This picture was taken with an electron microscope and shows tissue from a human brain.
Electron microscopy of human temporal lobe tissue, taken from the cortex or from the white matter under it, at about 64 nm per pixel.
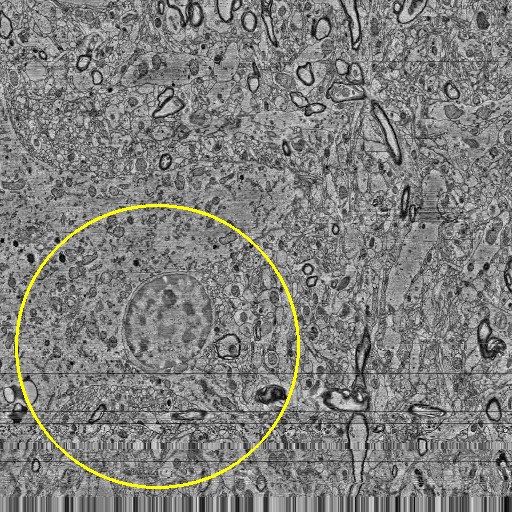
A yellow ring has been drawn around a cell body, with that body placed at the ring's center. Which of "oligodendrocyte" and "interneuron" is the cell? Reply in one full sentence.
In this picture, an oligodendrocyte is the cell at the center of the yellow ring.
